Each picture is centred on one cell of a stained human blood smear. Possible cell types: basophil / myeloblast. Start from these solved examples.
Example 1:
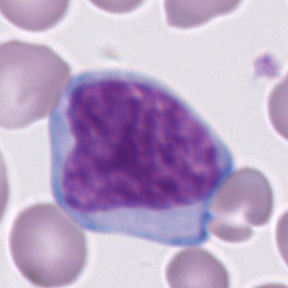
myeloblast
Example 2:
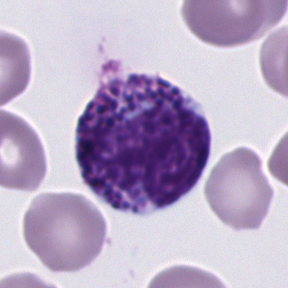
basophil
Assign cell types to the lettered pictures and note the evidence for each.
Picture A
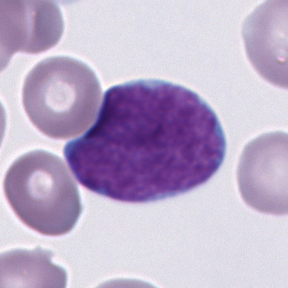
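myeloblast. Evidence: The thin cytoplasmic rim is blue, seen most clearly along the left and lower edges.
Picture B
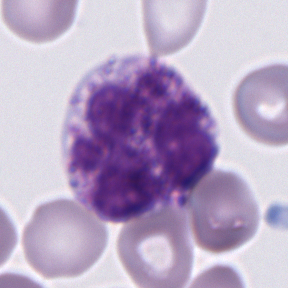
basophil. Evidence: Dark purple granules are scattered through the cytoplasm and also lie over the nucleus.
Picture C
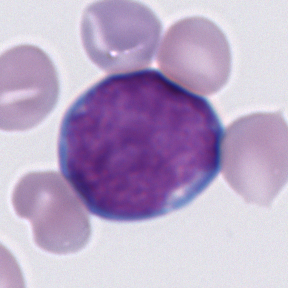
myeloblast. Evidence: The cytoplasm is blue.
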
